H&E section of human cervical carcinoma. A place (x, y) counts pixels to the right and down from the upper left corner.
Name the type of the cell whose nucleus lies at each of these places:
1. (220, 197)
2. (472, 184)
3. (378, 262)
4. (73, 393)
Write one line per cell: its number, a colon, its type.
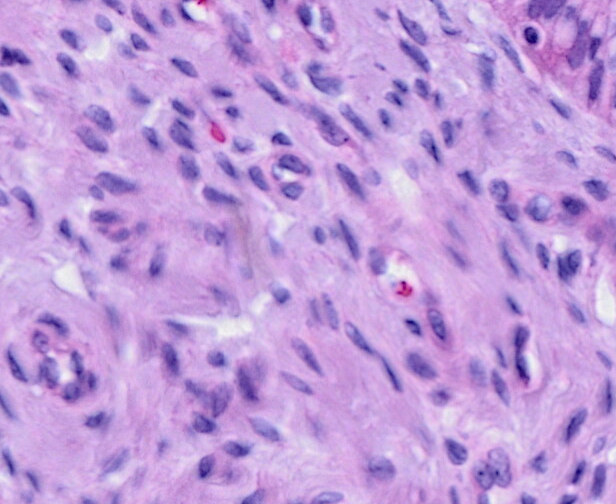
1: fibroblast
2: fibroblast
3: endothelial cell
4: endothelial cell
